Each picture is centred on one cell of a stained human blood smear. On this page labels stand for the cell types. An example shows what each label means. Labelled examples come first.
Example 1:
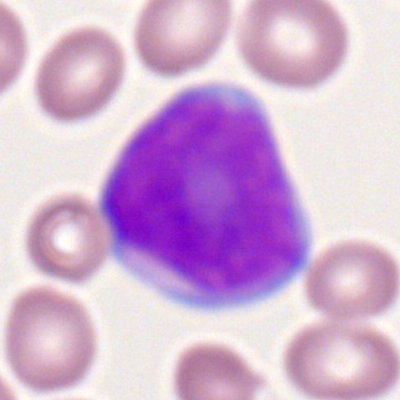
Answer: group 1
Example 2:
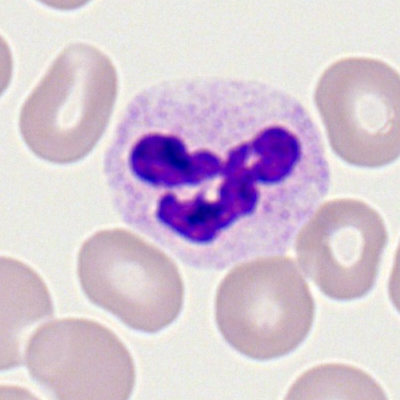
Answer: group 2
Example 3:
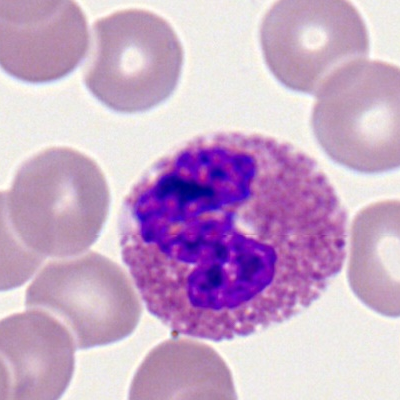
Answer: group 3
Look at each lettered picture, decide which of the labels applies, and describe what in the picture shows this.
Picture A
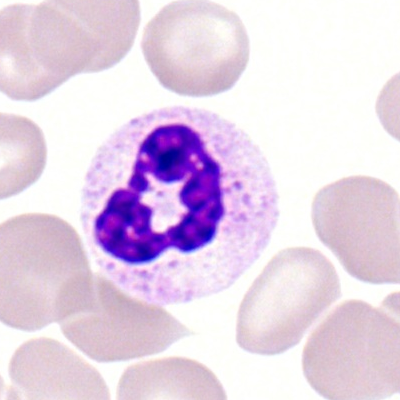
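group 2: The nucleus is a thick curved band bent around a pale central area of cytoplasm, almost closing into a ring.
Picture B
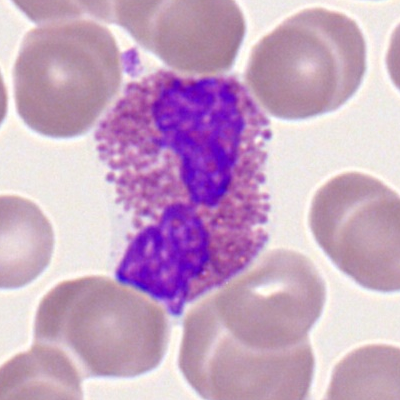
group 3: The granules are large enough to be seen one by one.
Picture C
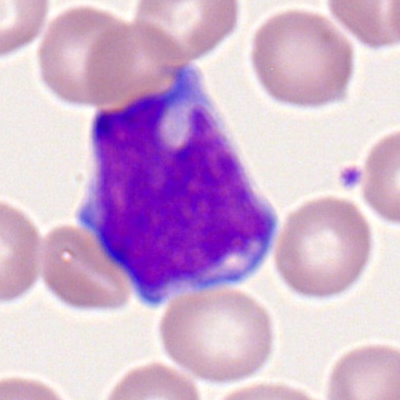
group 1: The cytoplasm is blue, deepest along the cell's edge.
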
